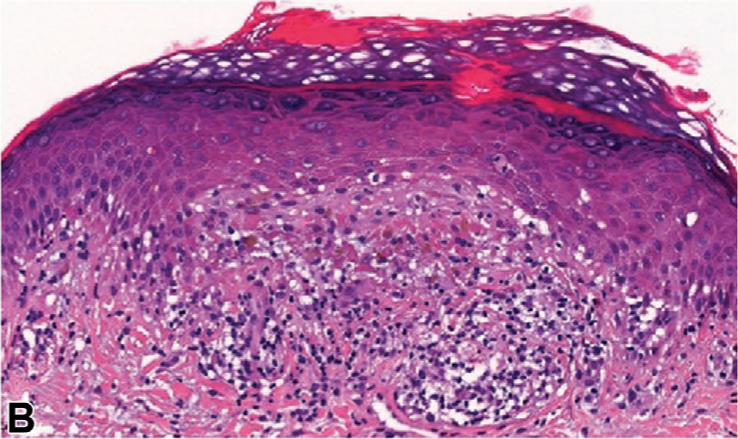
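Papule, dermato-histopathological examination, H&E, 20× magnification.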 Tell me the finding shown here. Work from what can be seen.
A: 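Many small round dark nuclei crowd the papillary dermis. The small dark cells extend up into the basal epidermis.
Answer: lymphocytic infiltration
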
